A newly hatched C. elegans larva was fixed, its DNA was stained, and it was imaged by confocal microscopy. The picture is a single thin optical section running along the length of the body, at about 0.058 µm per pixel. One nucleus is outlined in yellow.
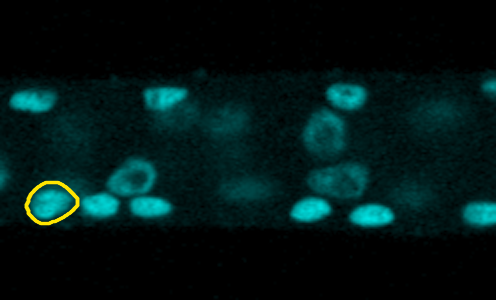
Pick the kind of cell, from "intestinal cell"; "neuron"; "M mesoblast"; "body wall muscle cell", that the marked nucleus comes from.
neuron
